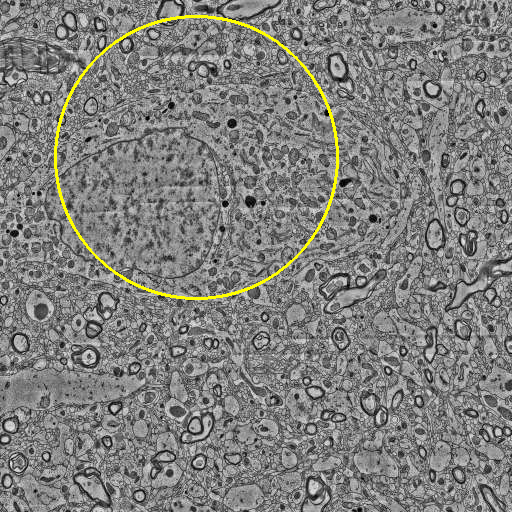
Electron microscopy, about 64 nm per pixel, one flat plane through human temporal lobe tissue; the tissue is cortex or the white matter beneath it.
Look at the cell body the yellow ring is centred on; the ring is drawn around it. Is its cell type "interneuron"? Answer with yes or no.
Yes, that is its cell type.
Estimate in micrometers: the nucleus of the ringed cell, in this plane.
The ringed cell's nucleus is about 11 micrometres long and 10 micrometres wide in this plane.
